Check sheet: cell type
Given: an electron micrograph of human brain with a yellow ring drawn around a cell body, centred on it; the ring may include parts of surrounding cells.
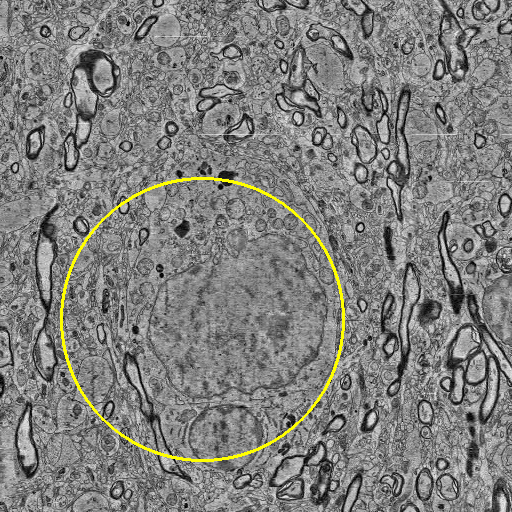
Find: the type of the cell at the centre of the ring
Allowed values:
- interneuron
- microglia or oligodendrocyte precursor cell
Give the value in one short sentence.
Here the ringed cell is an interneuron.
